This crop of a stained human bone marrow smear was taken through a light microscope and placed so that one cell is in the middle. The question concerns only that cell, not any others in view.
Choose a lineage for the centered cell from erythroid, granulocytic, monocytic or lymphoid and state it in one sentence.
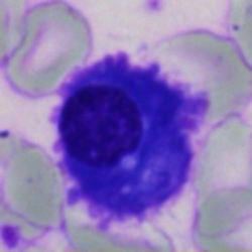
Lineage assignment for the central cell is lymphoid.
